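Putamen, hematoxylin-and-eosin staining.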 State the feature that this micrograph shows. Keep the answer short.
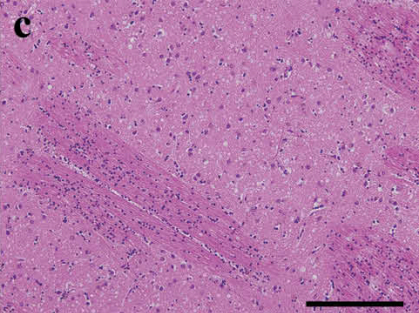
pencil fibers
